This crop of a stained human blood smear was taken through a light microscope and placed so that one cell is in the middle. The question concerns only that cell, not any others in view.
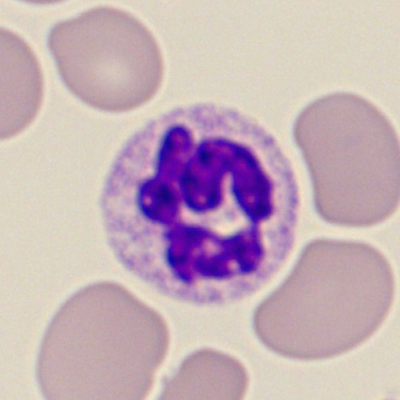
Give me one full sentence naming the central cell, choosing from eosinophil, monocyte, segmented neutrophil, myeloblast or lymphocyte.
At the middle of the frame sits a segmented neutrophil.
